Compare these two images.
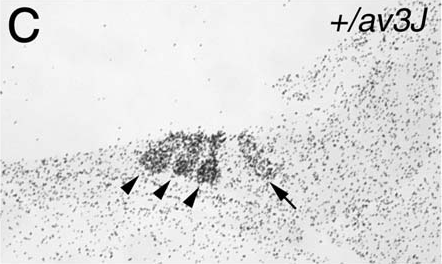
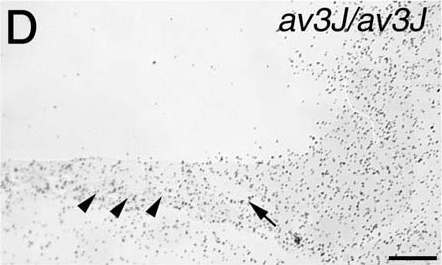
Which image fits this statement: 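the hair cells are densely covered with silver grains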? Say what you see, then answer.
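Second image: grains are evenly scattered, with no dense clusters over the hair cell region. First image: dense dark clusters of grains mark a row of three cells and a single cell nearby. On this evidence: the first image.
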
